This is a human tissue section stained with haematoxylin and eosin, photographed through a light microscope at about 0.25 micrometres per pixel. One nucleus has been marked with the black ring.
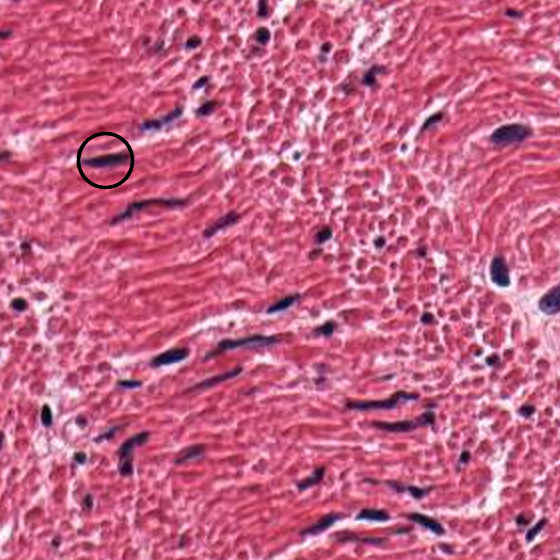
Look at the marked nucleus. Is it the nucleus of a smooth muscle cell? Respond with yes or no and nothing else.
yes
